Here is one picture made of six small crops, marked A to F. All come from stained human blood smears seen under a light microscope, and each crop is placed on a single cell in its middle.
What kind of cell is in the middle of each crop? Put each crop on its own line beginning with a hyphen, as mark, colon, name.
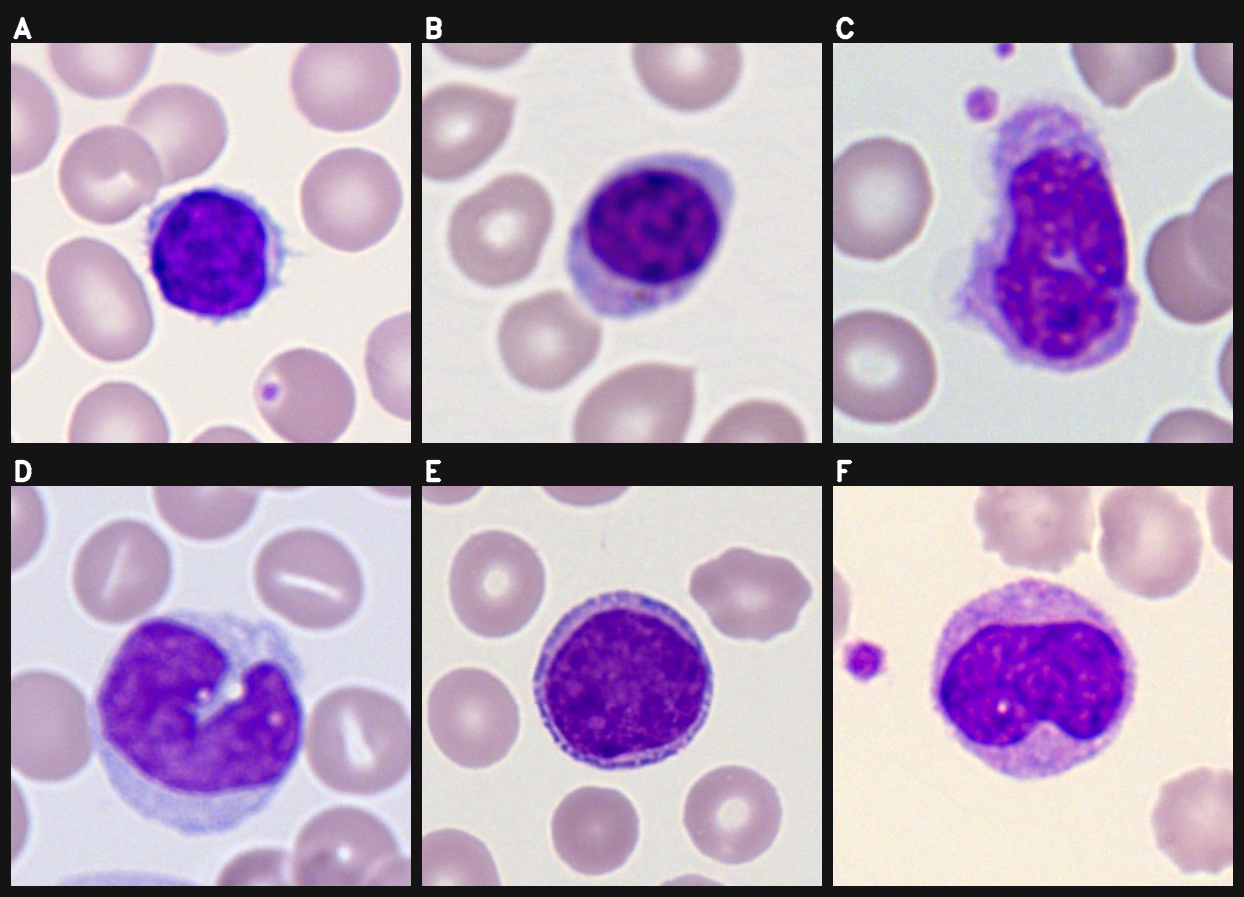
- A: lymphocyte
- B: lymphocyte
- C: monocyte
- D: monocyte
- E: myeloblast
- F: monocyte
